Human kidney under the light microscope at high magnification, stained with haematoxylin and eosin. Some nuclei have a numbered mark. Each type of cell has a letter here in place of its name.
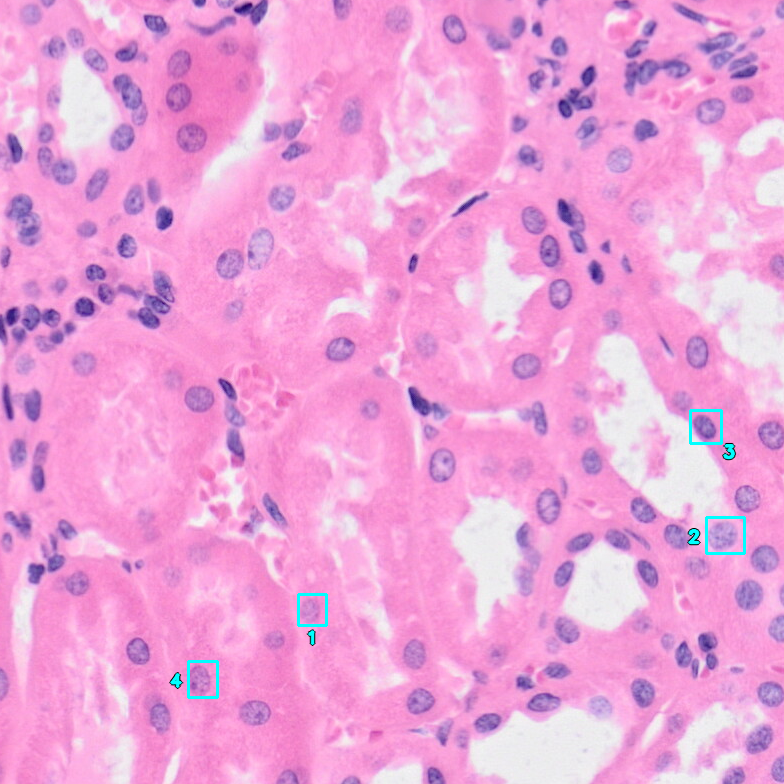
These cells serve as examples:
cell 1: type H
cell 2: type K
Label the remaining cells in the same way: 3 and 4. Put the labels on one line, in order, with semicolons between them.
type K; type H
